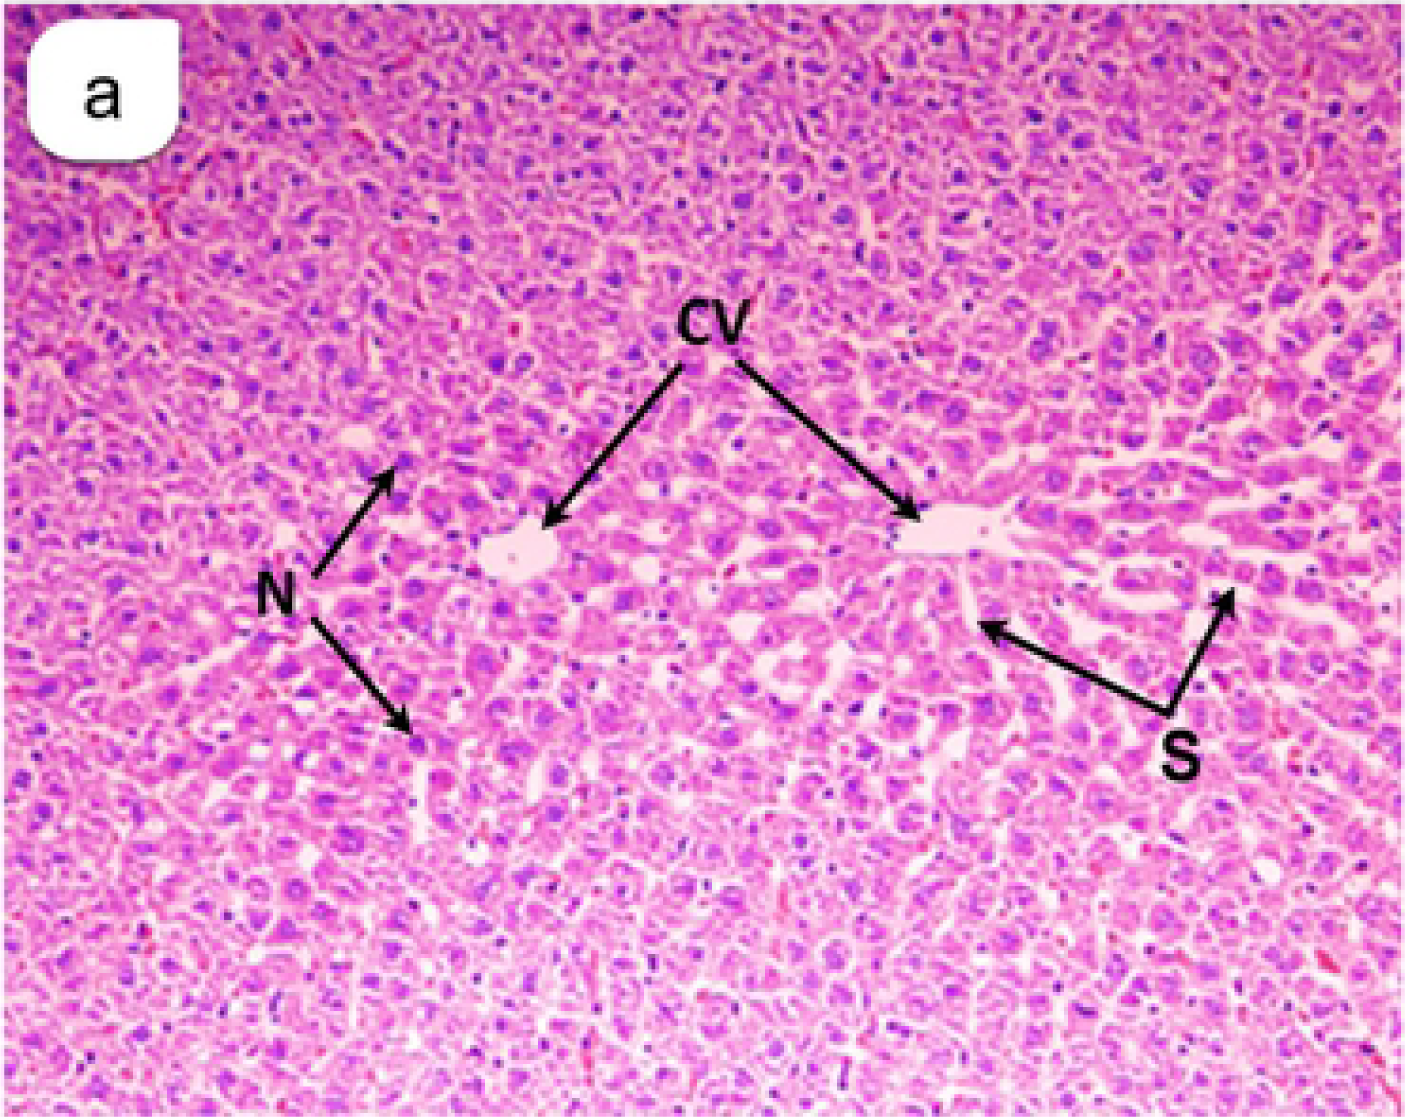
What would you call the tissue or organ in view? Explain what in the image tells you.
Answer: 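Polygonal cells with round central nuclei arranged in cords. Cords radiate from small central vessels. Narrow clear channels run between the cords.
Answer: liver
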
